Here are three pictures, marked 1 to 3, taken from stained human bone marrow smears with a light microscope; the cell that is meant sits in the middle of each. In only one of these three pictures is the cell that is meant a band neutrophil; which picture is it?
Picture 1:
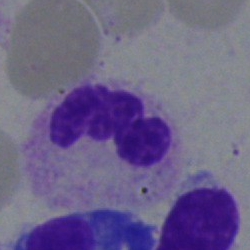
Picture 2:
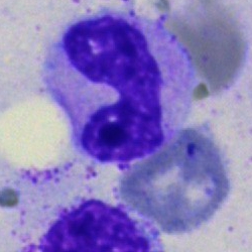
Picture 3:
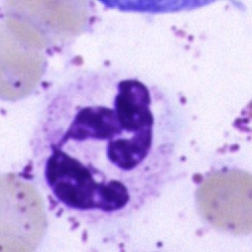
2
